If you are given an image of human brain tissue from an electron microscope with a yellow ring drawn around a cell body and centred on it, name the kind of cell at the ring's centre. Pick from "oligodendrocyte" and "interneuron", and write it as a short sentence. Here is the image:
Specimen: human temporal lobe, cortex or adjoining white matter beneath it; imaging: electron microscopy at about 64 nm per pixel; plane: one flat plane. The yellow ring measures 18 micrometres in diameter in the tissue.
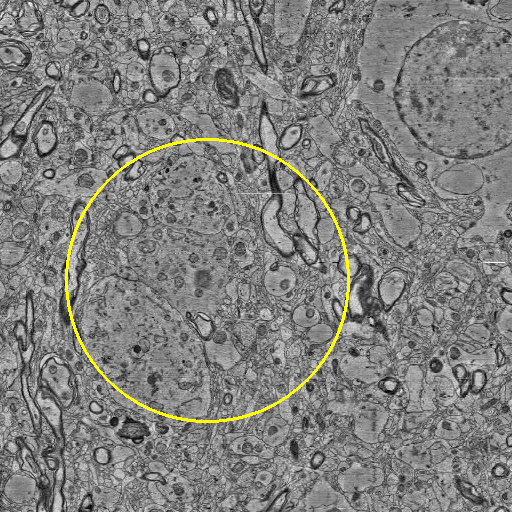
The cell at the ring's centre is an oligodendrocyte.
